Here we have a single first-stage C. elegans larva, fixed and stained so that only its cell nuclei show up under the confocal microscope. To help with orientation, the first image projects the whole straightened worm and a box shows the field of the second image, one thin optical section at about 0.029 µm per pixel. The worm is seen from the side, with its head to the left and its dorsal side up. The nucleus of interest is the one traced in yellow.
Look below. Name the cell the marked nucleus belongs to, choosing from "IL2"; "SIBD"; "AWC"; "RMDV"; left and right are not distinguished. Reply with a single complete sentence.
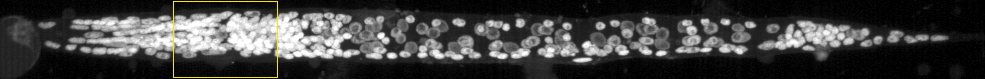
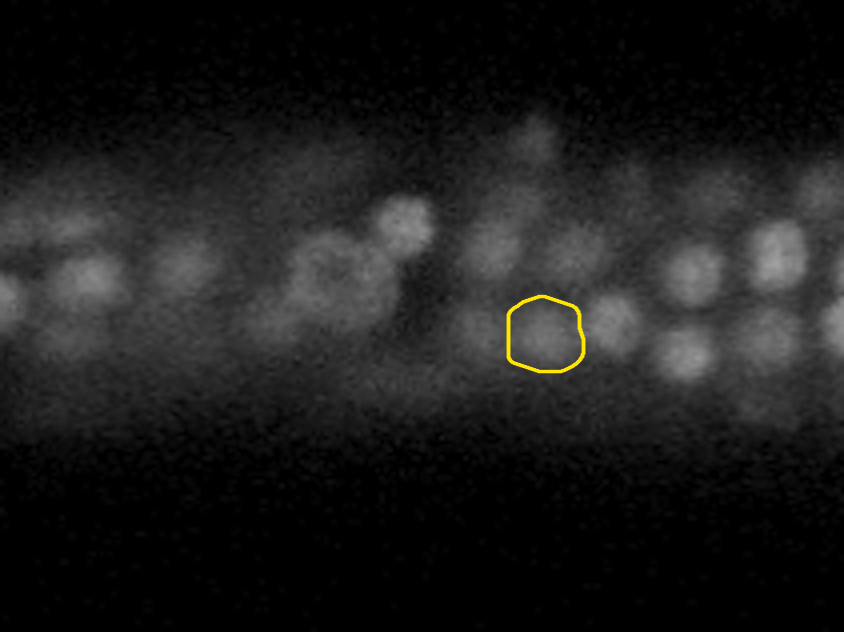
The cell whose nucleus is marked is SIBD, a neuron.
